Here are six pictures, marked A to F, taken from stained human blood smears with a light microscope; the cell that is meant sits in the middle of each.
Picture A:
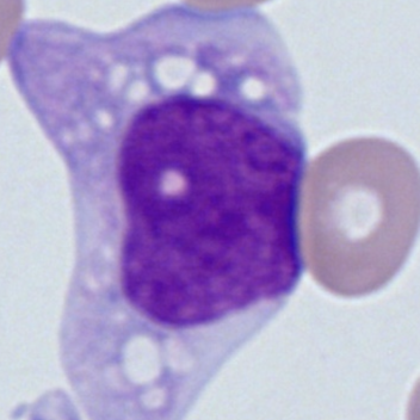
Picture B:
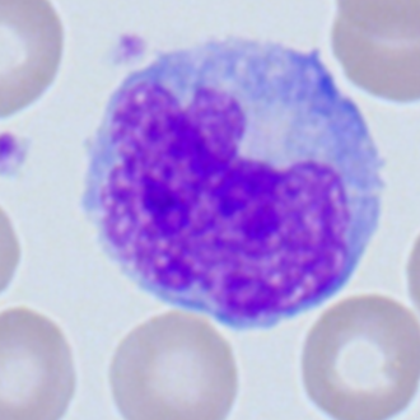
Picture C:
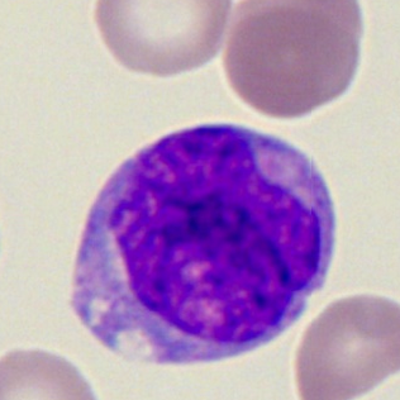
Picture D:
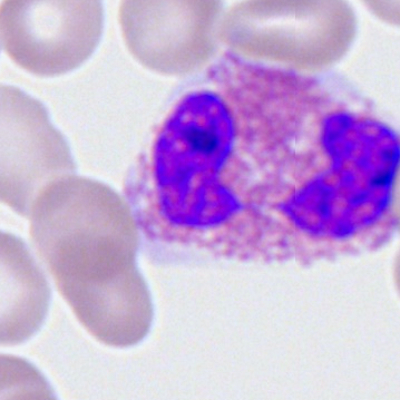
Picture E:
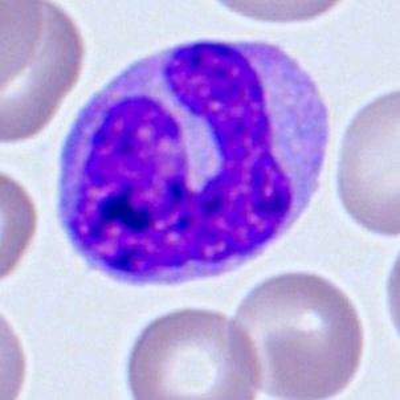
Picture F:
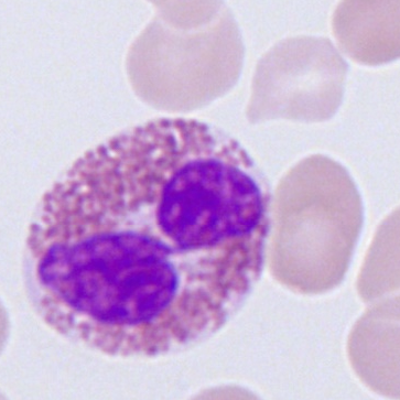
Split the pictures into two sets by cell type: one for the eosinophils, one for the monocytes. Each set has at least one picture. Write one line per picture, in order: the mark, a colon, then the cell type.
A: monocyte
B: monocyte
C: monocyte
D: eosinophil
E: monocyte
F: eosinophil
